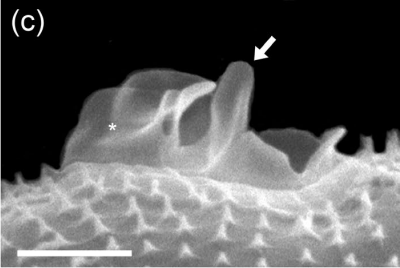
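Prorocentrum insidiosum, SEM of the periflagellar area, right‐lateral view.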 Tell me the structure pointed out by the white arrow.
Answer: narrower protrusion in the middle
